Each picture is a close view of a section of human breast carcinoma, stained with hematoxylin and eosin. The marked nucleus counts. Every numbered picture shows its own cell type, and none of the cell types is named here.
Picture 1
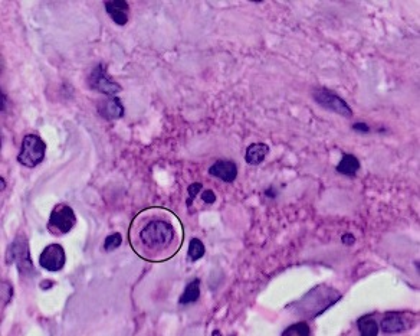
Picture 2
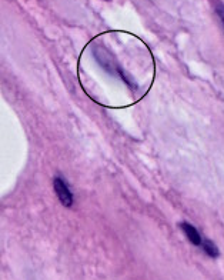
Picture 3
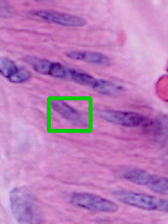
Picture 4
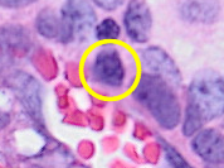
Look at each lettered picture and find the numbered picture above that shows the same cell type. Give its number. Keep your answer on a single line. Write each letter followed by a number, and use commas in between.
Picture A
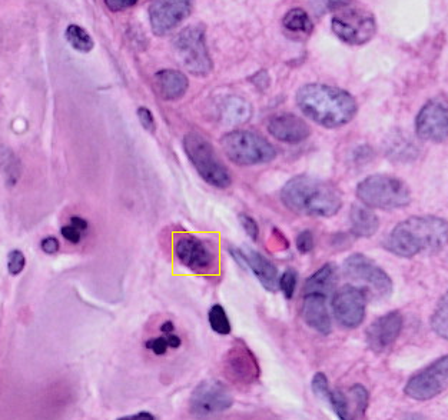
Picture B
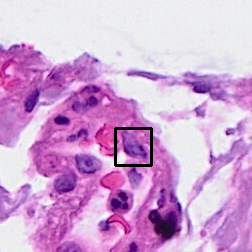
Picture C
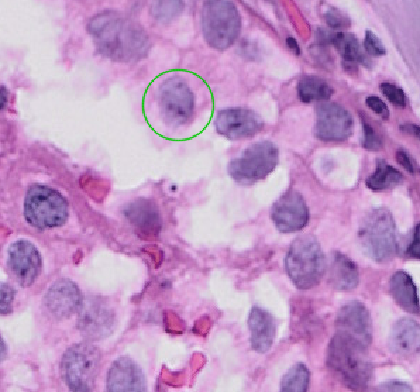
A 1, B 3, C 4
